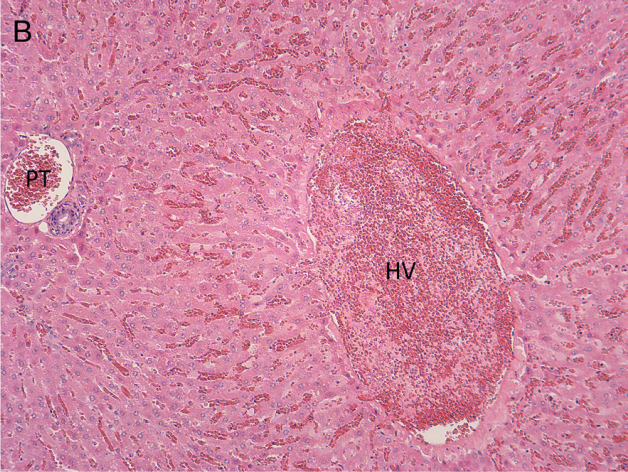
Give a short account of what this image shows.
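This low-power view of liver shows cords of pink hepatocytes with round central nuclei running between sinusoids that are distended and filled with red blood cells. A large vein to the right is packed with red cells, and a small portal tract at the left edge holds a vessel with blood and a few small ducts and cells. The hepatocytes themselves look intact, without pale dead areas or clusters of inflammatory cells. This is congestion of the sinusoids and hepatic vein without necrosis or inflammation.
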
